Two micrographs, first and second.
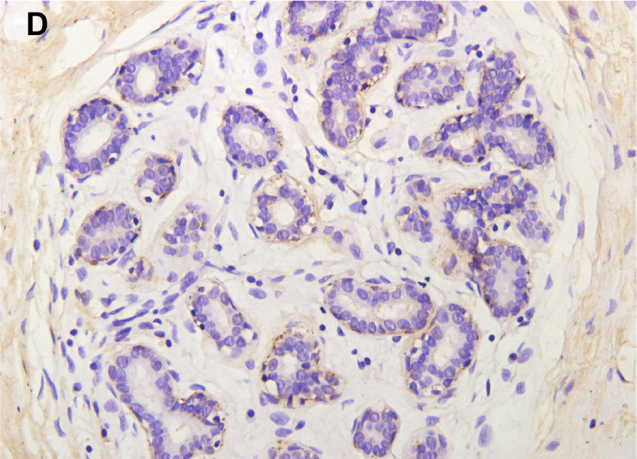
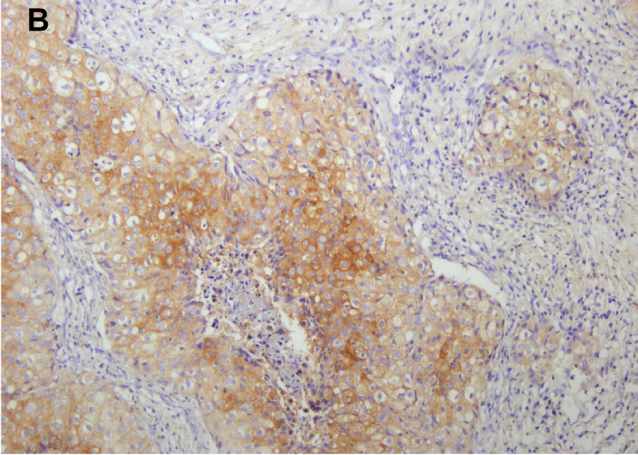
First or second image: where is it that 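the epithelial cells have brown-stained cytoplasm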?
The second image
